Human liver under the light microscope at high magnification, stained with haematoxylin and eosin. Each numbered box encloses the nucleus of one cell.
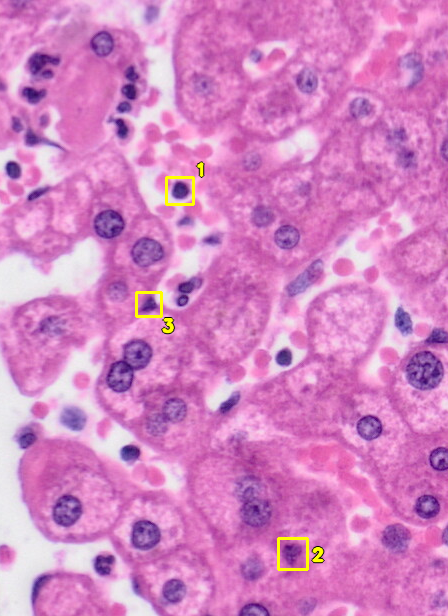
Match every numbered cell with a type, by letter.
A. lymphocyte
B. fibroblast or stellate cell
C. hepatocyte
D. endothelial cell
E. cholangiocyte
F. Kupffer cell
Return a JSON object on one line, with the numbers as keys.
{"1": "A", "2": "B", "3": "B"}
